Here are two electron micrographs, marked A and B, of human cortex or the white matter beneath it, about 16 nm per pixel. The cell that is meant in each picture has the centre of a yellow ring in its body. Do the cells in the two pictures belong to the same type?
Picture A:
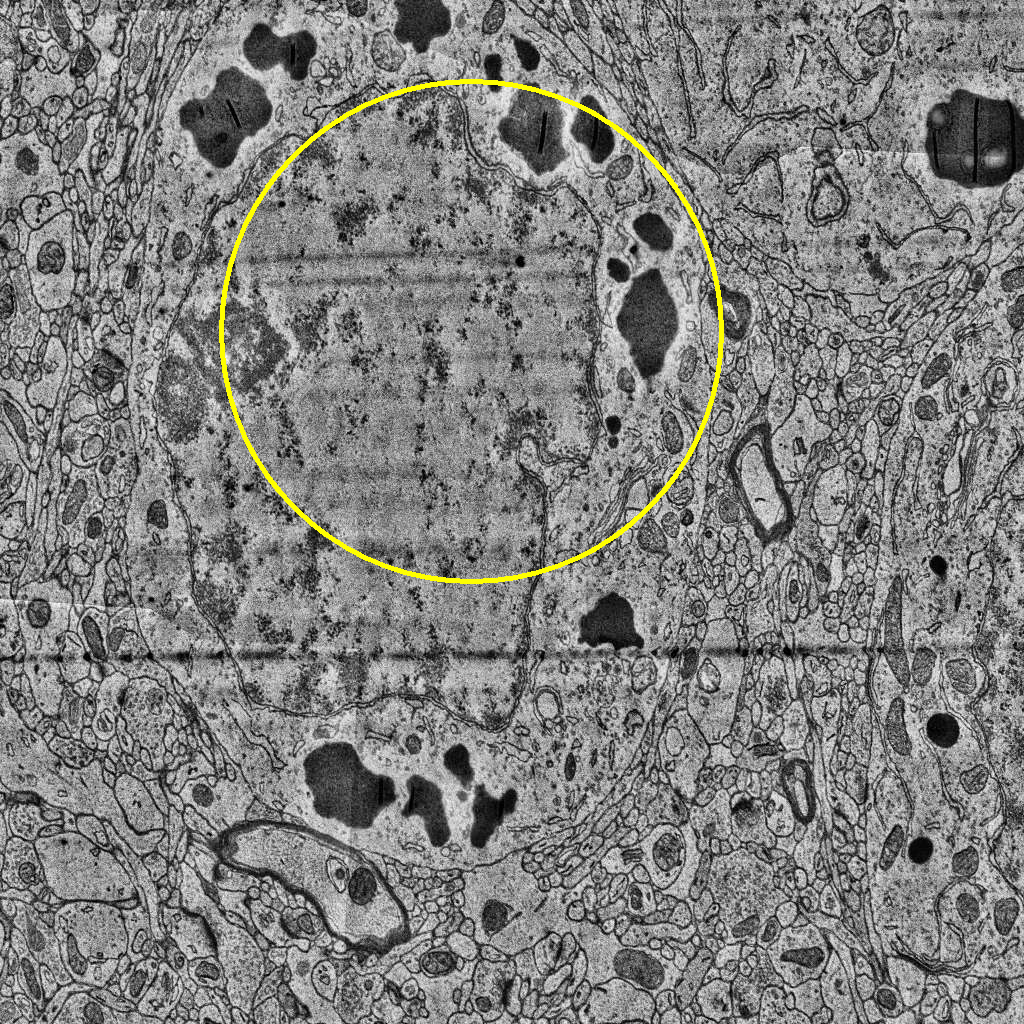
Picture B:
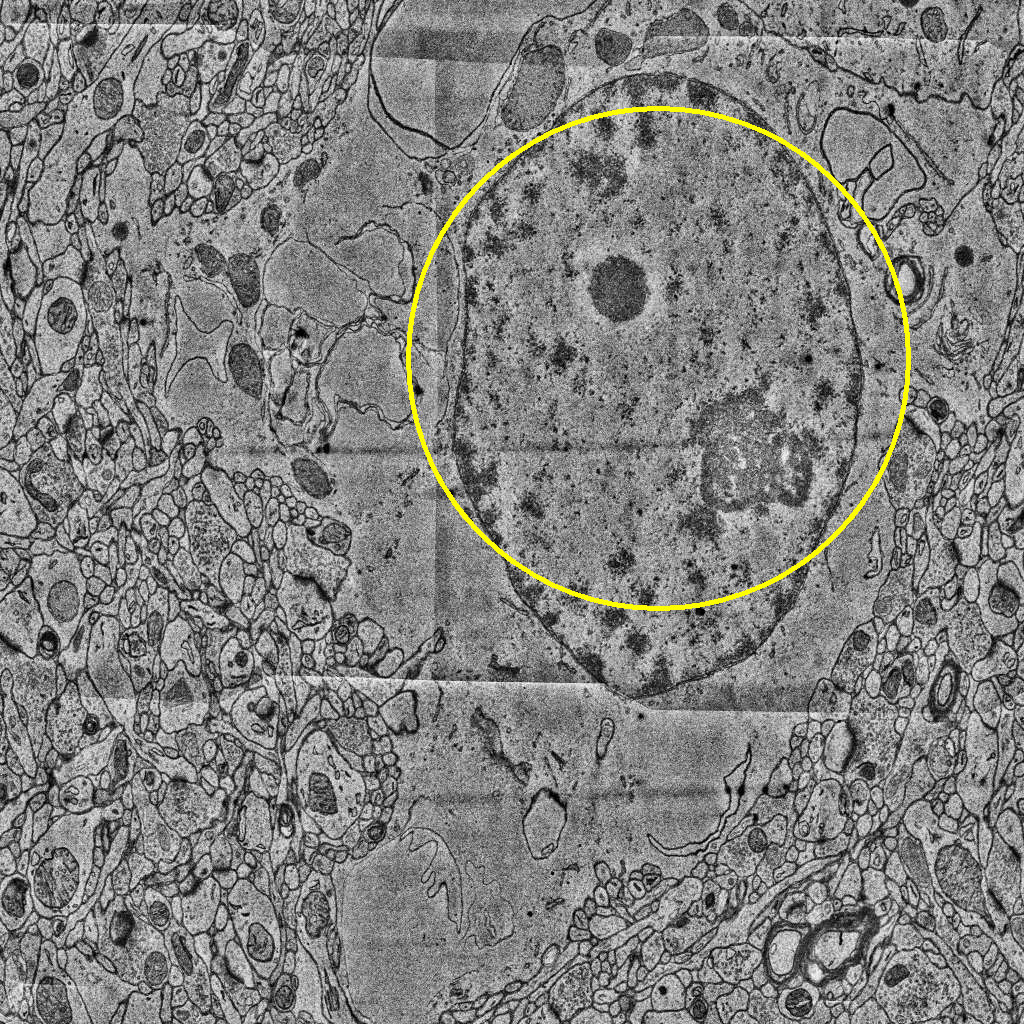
No, they differ: the cell is an interneuron in picture A and an astrocyte in picture B.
